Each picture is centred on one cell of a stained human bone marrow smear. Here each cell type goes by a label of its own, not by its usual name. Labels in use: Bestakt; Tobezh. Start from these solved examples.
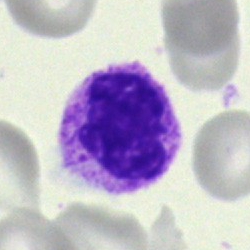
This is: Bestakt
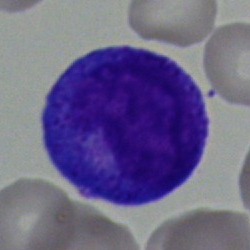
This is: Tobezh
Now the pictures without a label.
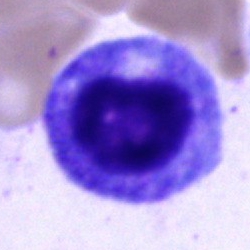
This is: Tobezh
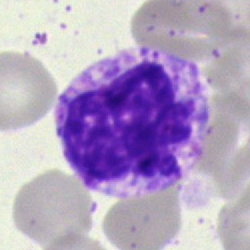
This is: Bestakt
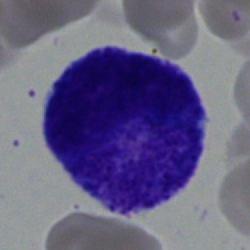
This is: Tobezh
